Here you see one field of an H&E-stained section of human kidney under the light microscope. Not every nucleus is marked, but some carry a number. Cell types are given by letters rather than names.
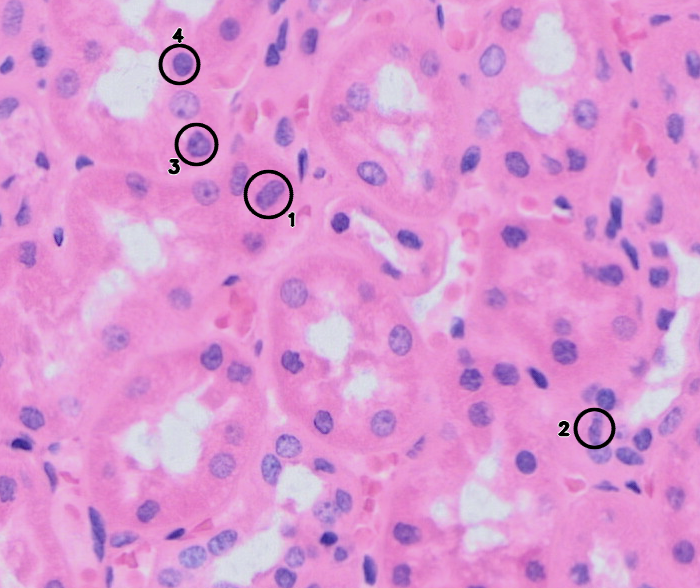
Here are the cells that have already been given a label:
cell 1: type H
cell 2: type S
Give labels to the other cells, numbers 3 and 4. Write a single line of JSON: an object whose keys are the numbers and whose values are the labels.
{"3": "type H", "4": "type H"}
